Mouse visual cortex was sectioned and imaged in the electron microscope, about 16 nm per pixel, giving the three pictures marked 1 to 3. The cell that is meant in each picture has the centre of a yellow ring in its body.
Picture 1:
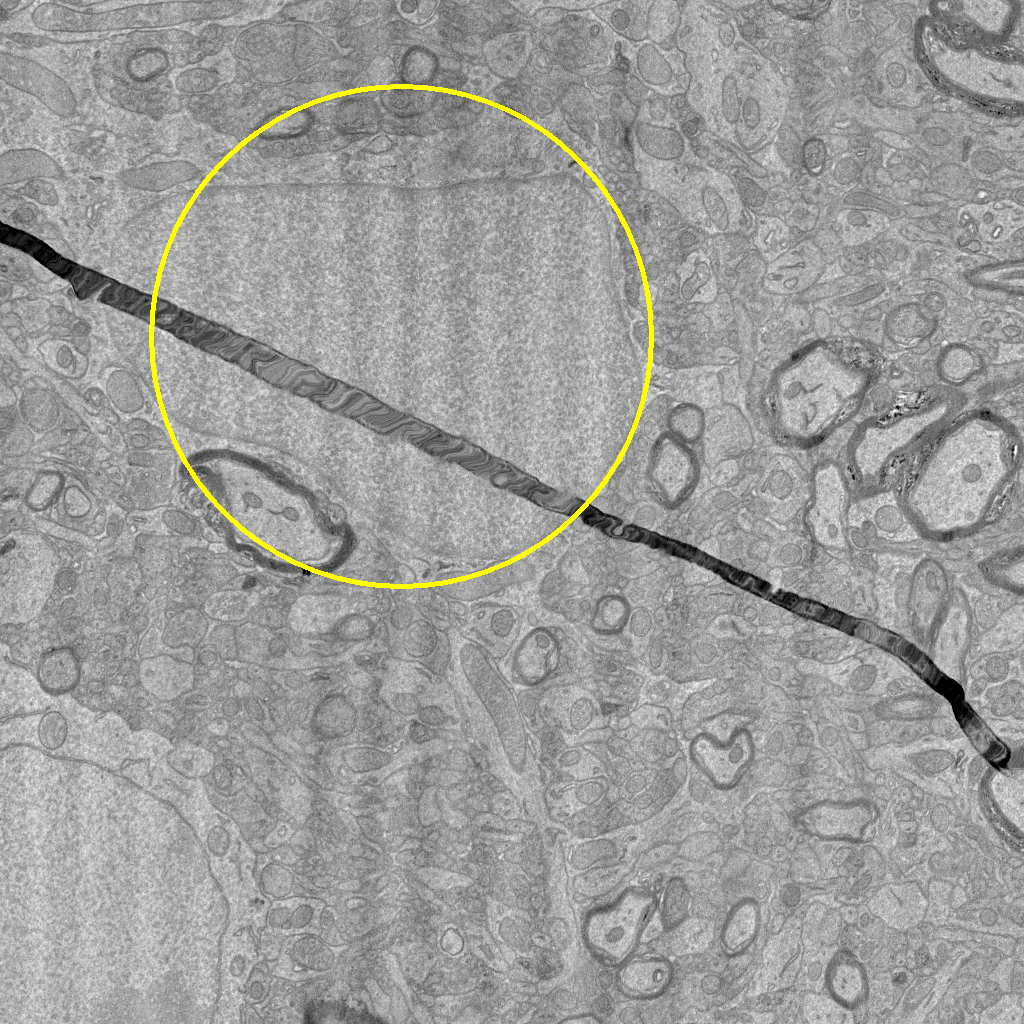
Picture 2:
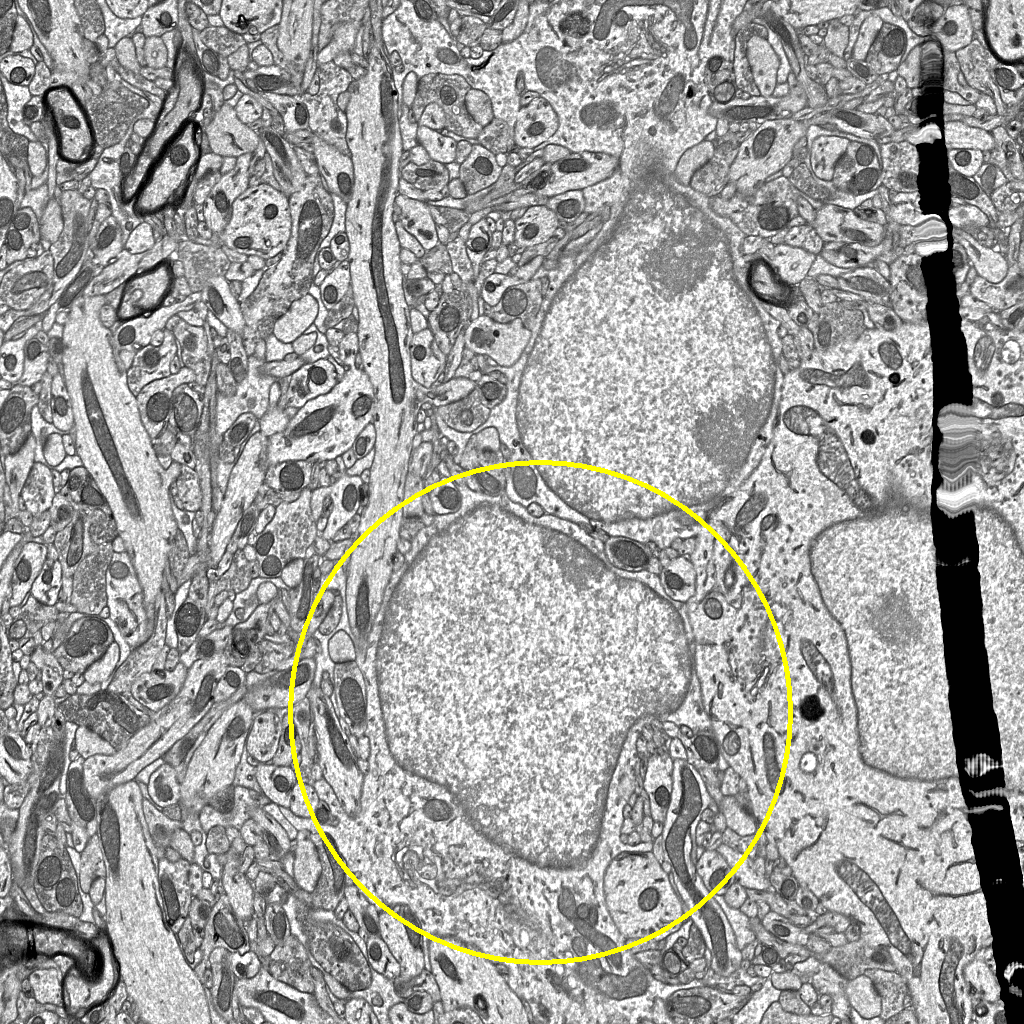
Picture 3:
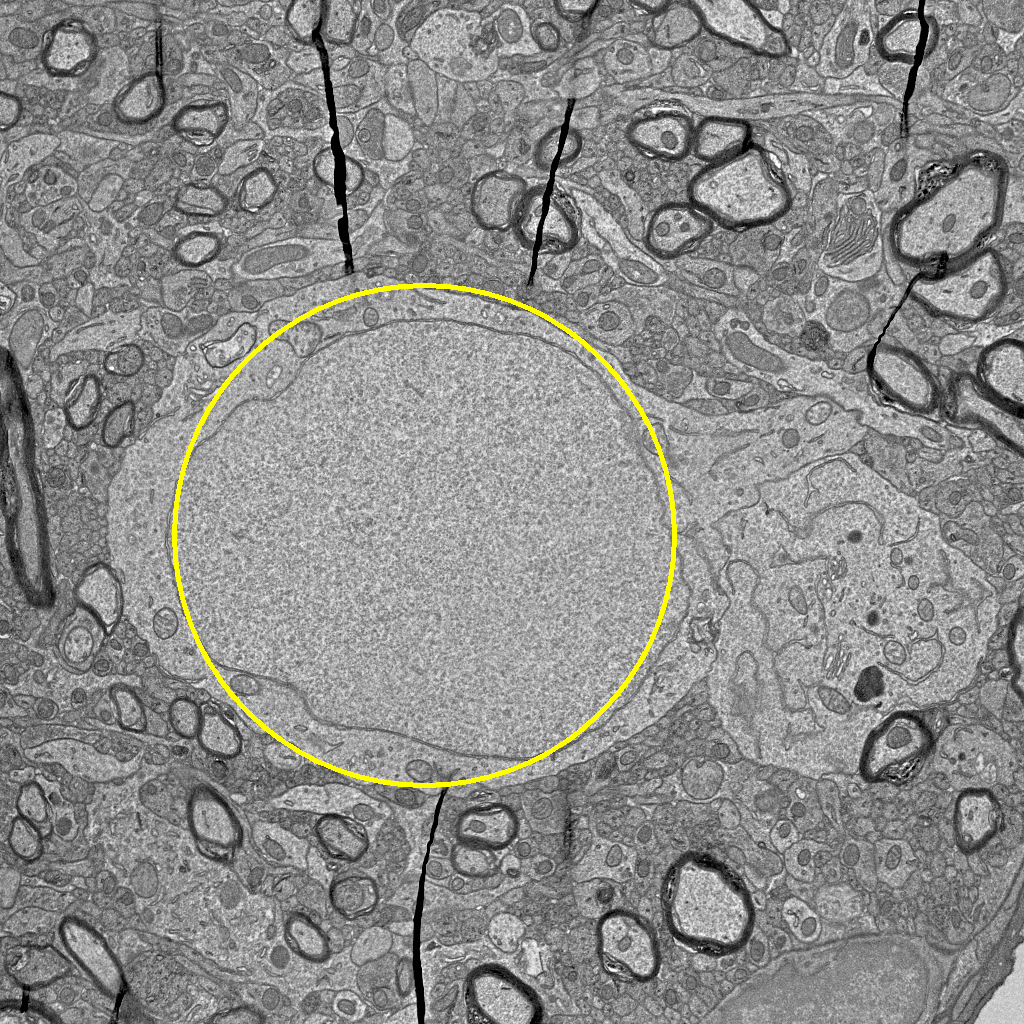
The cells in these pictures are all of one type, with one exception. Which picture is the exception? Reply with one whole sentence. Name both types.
The different one is picture 3; it shows an excitatory neuron, whereas all the others show astrocytes.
